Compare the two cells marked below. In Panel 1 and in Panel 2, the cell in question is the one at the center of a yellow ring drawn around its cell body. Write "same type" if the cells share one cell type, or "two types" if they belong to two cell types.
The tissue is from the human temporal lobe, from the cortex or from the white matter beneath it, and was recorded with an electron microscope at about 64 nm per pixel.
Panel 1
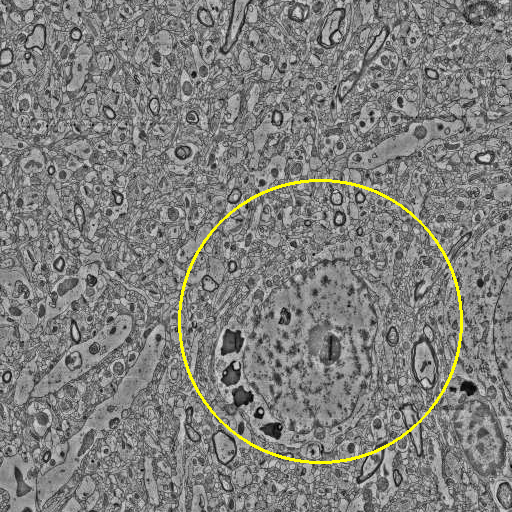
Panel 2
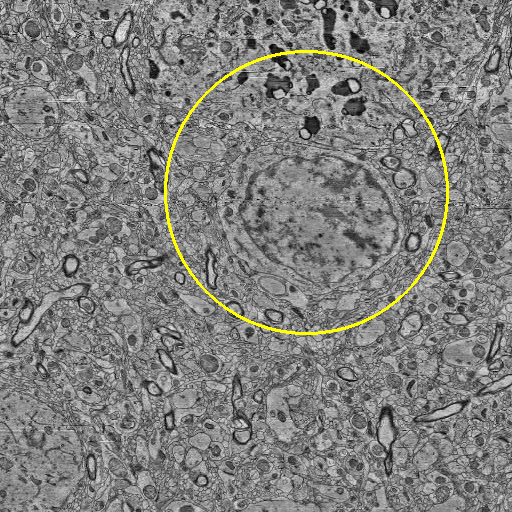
same type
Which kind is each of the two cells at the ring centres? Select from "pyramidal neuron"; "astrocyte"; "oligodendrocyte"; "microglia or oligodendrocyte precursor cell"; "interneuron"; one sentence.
Each of the two rings is centred on an interneuron.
